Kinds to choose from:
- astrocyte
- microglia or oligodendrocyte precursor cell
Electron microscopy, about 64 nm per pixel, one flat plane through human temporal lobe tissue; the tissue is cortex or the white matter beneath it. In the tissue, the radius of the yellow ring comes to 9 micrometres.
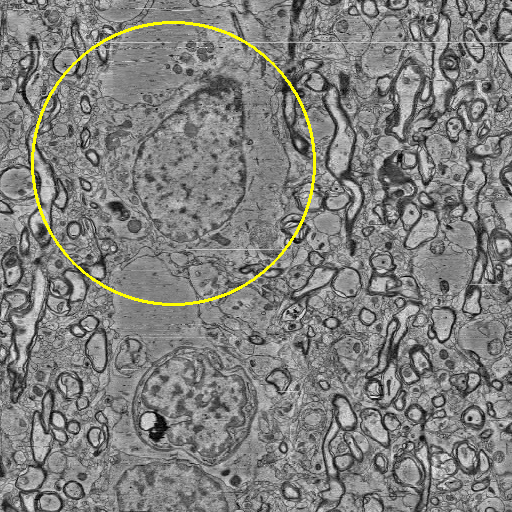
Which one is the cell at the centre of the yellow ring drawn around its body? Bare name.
microglia or oligodendrocyte precursor cell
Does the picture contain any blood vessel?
Yes, a blood vessel can be seen.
